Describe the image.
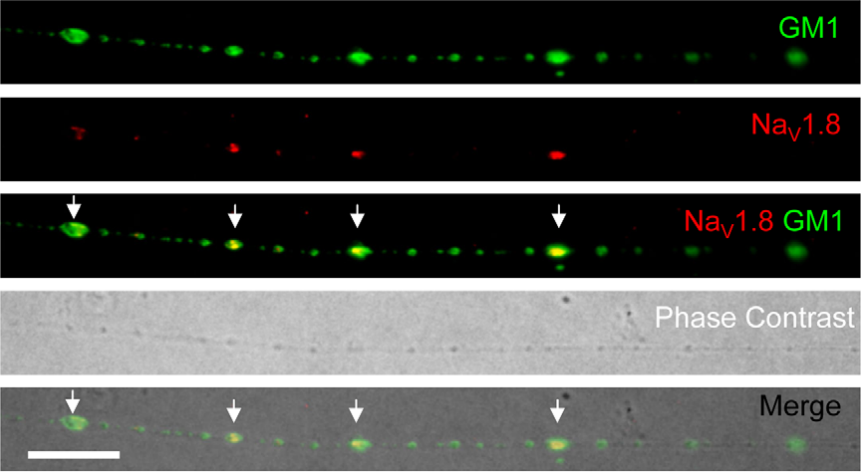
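This is a single thin neurite from a cultured sensory neuron, shown as stacked strips of the same stretch. In green the neurite looks like a string of beads: small and larger bright puncta spaced along a faint thread. The red channel shows only a few discrete spots, and where the two are merged those spots fall on some of the larger green puncta, which turn yellow; white arrows point to them. The phase contrast strip shows the neurite as one faint, unbroken line, so the beads lie along an intact process rather than on scattered debris.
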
